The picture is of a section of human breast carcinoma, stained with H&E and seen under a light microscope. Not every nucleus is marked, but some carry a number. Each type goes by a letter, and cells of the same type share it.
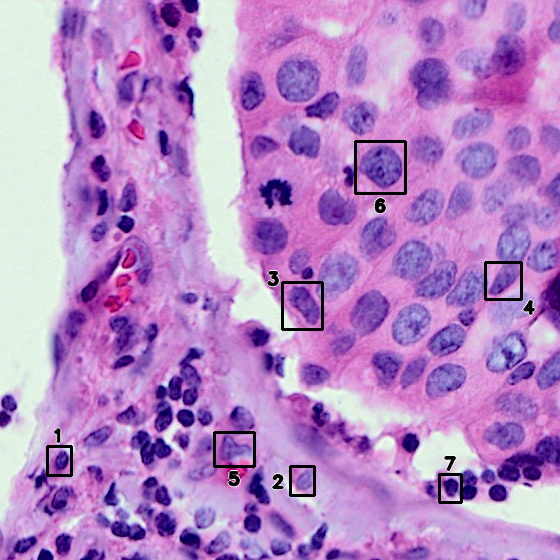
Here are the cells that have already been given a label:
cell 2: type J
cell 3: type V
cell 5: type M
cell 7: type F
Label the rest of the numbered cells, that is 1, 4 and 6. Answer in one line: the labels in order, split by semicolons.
type J; type V; type V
